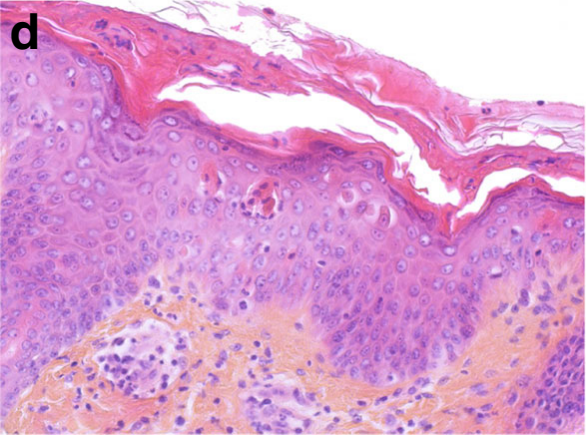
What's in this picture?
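This is the epidermis of skin, seen at fairly high power, with the pink cornified layer on top and the rows of keratinocytes beneath it. The keratinocytes have purple round nuclei and pink cytoplasm. The cornified layer is lifted off by a white cleft. At the bottom the epidermis meets the dermis, where looser pink tissue holds small vessels and scattered cells with dark nuclei.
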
